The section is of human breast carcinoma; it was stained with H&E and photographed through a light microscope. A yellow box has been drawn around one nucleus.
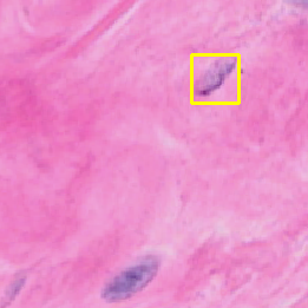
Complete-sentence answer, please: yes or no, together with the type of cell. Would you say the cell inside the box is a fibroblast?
Yes, it is a fibroblast that the cell inside the box represents in this section.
